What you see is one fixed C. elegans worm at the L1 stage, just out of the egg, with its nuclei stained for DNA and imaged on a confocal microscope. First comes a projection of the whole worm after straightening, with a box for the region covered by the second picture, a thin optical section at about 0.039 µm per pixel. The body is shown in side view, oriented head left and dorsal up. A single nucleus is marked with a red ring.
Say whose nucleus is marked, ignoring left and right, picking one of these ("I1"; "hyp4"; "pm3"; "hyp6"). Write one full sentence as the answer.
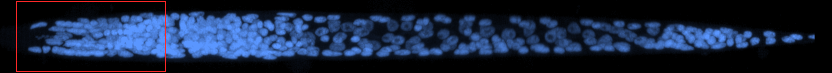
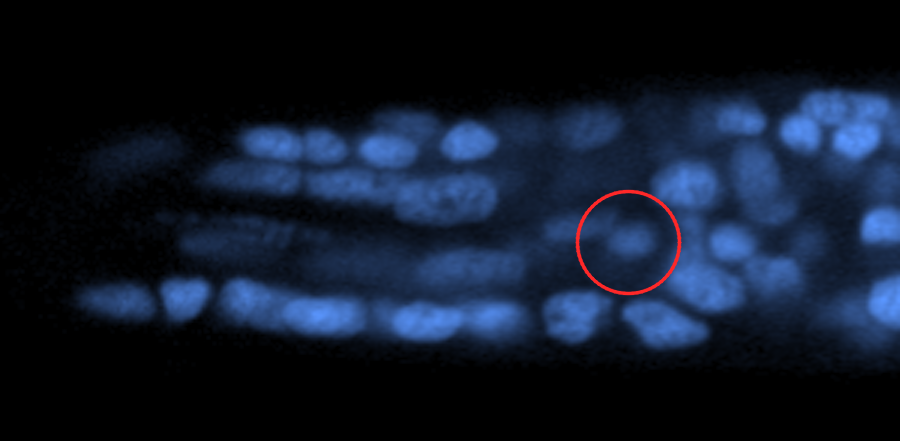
The marked nucleus belongs to I1, a neuron.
